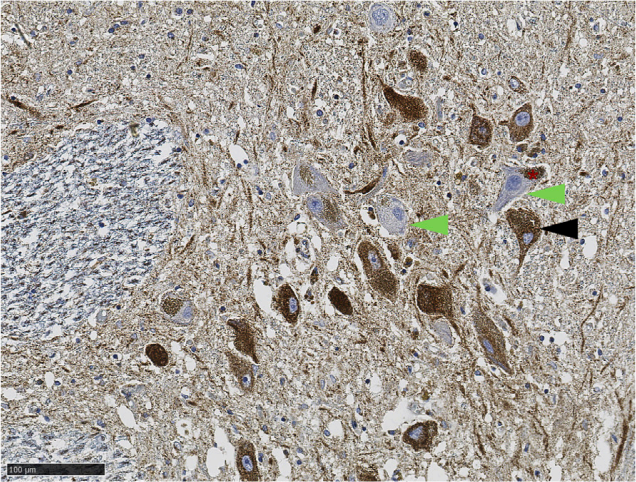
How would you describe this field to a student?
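Large, angular neurons with abundant cytoplasm and big round nuclei with clear nucleoli lie scattered in a brown-stained neuropil, next to a pale blue bundle of fibres at the left. Most of these neurons have densely brown cytoplasm, but a few are pale blue-grey, standing out against their brown neighbours. Small blue nuclei of glial cells are dotted through the tissue between the neurons.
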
